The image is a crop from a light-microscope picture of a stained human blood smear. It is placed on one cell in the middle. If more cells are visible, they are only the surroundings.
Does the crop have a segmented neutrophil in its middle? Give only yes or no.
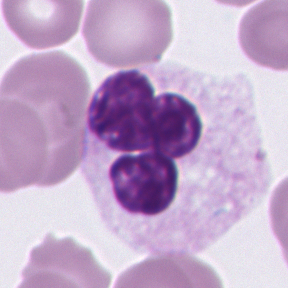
yes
